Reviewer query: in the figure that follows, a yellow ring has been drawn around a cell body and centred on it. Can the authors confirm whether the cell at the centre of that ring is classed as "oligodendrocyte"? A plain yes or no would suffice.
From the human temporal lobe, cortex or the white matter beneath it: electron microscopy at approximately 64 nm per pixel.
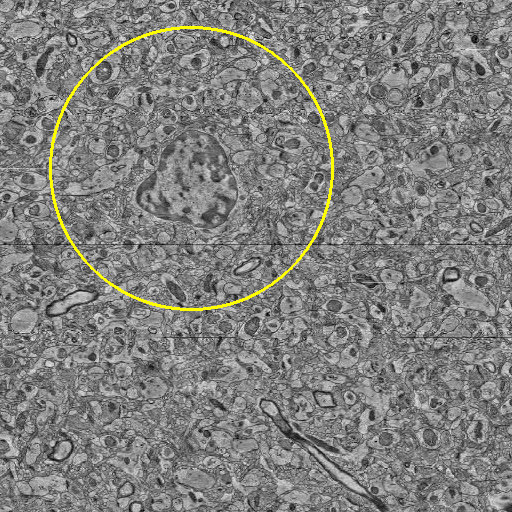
no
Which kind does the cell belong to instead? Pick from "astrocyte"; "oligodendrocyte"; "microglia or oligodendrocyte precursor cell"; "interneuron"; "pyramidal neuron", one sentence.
At the centre of the ring sits a microglial cell or oligodendrocyte precursor cell.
